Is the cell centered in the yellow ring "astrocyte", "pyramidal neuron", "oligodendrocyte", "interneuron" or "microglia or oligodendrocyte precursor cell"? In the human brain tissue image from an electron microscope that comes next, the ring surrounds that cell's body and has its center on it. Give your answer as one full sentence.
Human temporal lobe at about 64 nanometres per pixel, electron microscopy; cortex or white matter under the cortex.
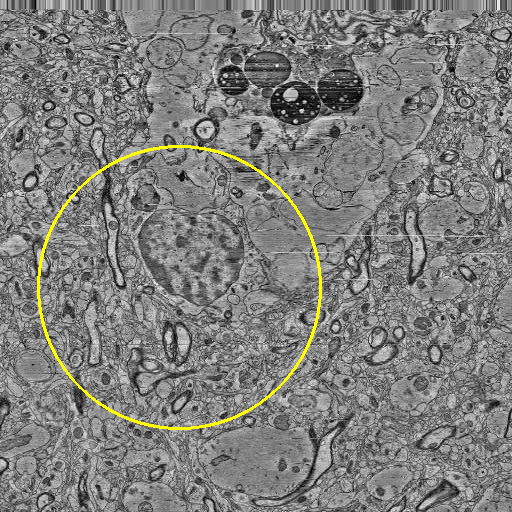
The cell at the center of the yellow ring is a microglial cell or oligodendrocyte precursor cell in the micrograph.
